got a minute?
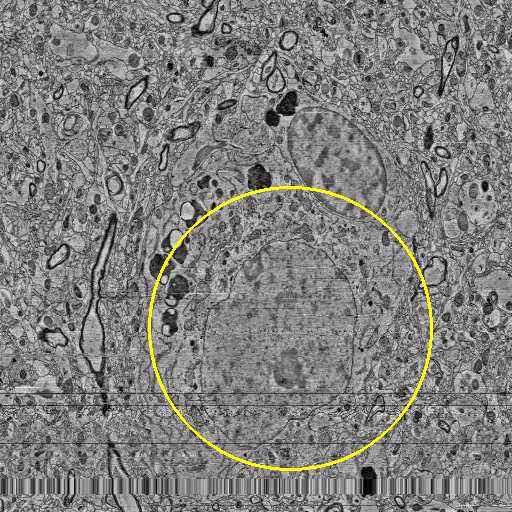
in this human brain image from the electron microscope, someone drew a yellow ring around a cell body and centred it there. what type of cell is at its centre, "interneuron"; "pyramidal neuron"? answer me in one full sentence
It's a pyramidal neuron at the middle of that yellow ring in the shot.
